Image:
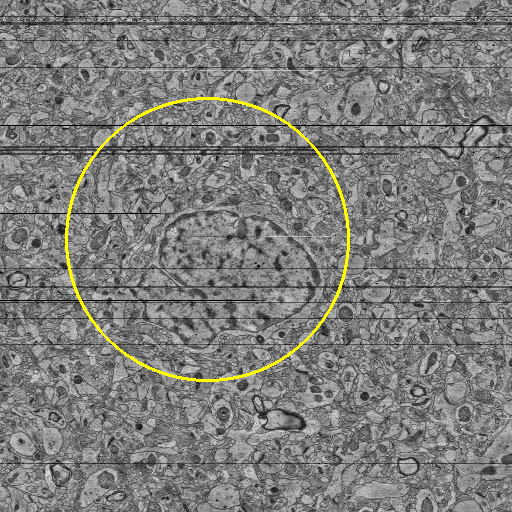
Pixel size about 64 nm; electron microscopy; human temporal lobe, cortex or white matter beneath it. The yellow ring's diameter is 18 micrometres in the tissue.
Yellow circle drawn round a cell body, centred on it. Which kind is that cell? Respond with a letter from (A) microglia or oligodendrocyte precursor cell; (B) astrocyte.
A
